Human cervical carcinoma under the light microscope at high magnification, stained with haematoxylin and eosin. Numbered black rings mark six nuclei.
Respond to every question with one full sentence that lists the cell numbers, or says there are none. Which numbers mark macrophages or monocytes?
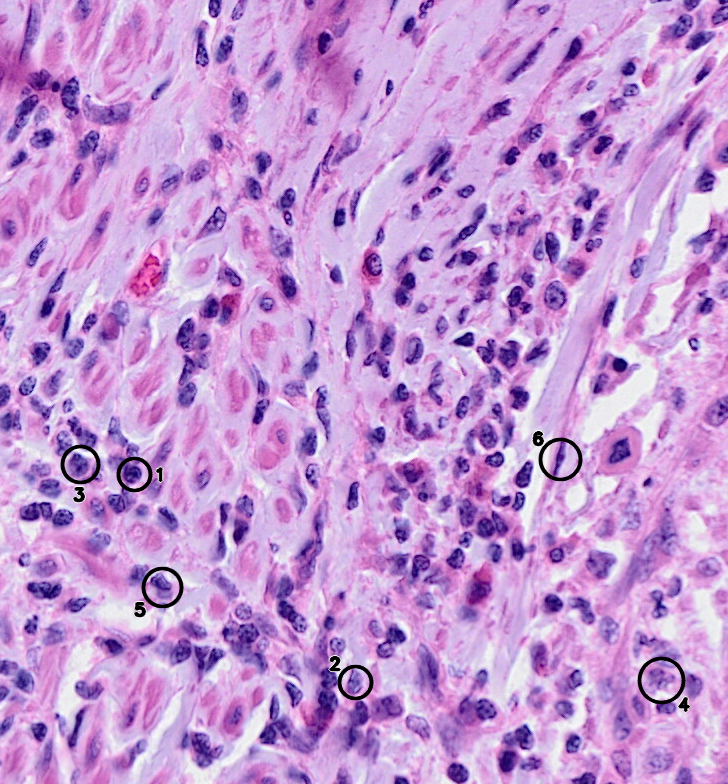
Cell 4 is a macrophage or monocyte, while every other numbered cell is not.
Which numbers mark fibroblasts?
Cell 6 is a fibroblast, while every other numbered cell is not.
